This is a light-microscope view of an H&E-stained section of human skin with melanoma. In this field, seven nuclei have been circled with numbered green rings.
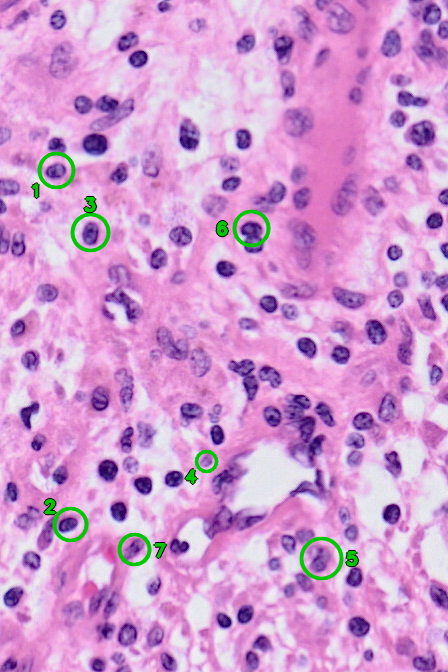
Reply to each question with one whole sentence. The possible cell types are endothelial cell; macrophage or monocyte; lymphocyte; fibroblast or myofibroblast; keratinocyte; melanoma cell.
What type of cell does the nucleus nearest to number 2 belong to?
It is a fibroblast or myofibroblast whose nucleus is nearest to number 2.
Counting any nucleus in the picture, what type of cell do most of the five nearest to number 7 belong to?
The majority of the five nuclei closest to number 7 belong to endothelial cells.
